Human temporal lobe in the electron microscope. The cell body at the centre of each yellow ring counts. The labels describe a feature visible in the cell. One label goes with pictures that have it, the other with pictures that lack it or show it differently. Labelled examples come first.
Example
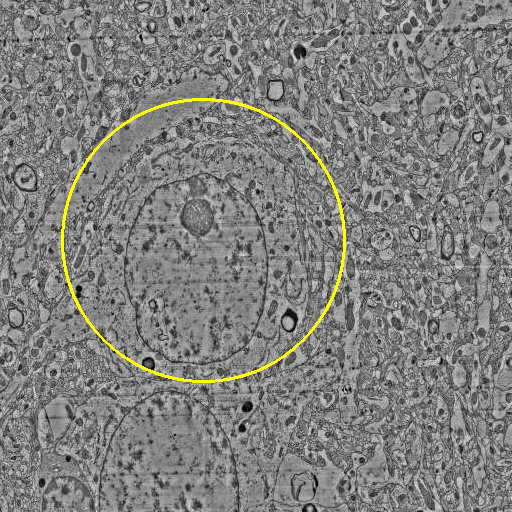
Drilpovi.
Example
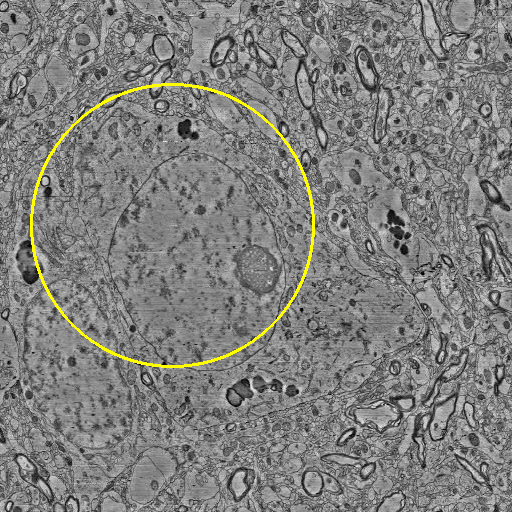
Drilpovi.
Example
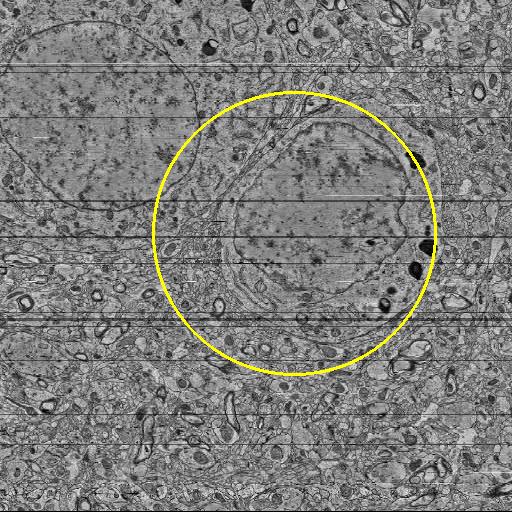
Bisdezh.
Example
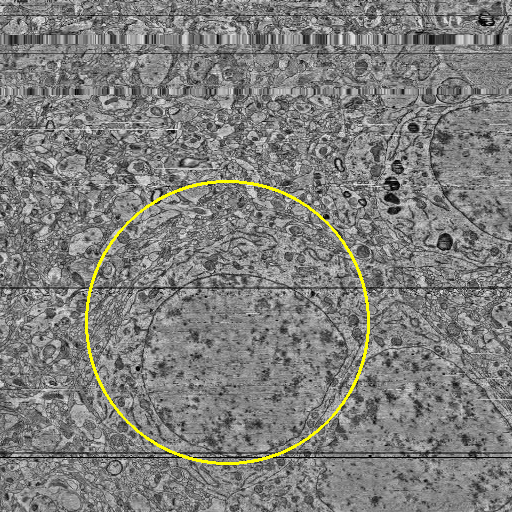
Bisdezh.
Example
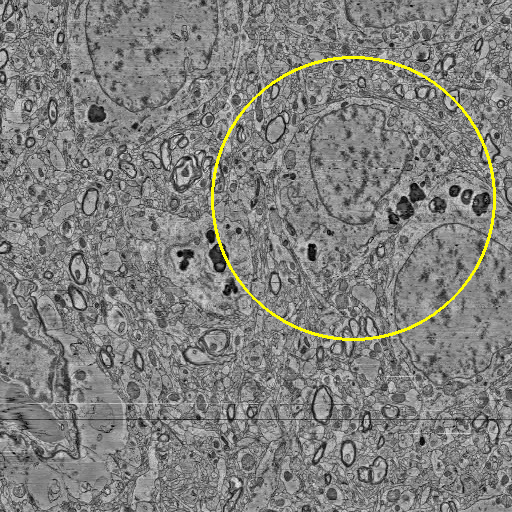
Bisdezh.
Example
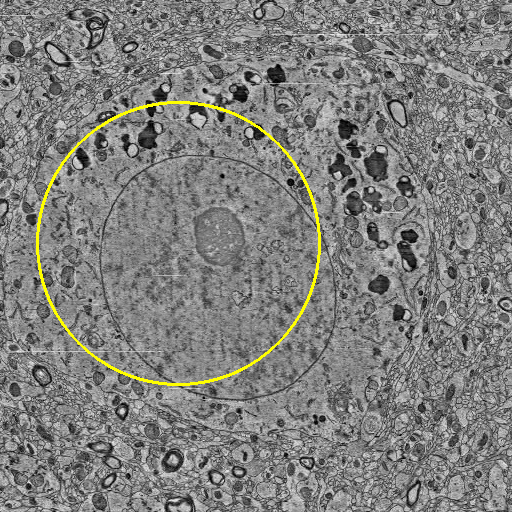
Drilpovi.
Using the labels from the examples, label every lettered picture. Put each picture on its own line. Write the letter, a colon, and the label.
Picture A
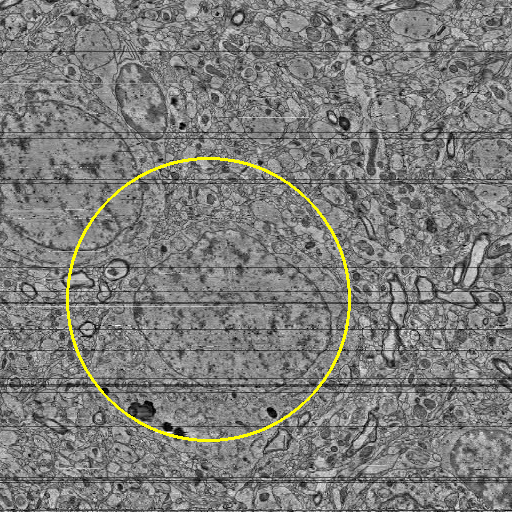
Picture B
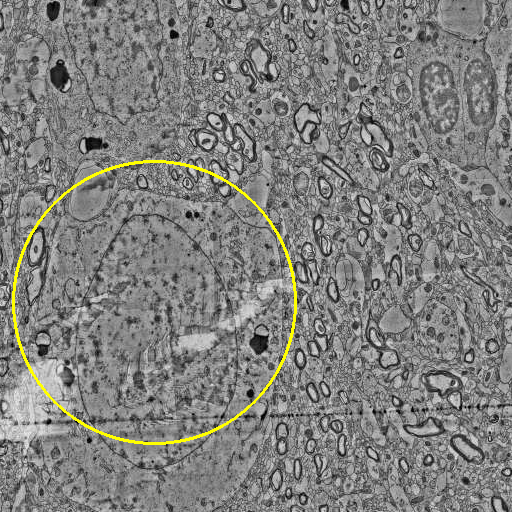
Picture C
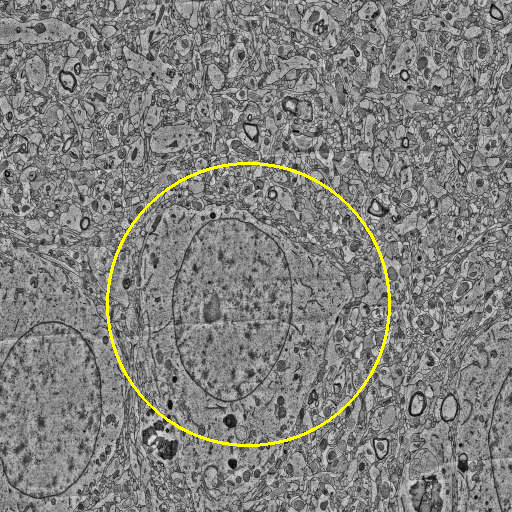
A: Bisdezh.
B: Bisdezh.
C: Drilpovi.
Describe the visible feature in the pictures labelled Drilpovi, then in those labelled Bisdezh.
In Drilpovi: nucleolus seen. In Bisdezh: no nucleolus seen.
